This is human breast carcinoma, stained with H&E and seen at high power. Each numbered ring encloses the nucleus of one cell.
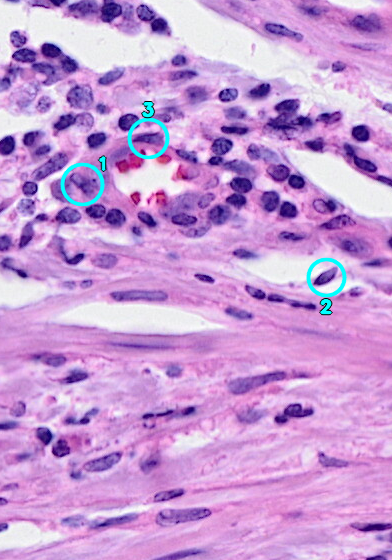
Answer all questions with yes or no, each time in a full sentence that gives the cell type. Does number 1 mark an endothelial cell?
Yes, the cell that has number 1 is an endothelial cell.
